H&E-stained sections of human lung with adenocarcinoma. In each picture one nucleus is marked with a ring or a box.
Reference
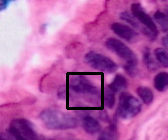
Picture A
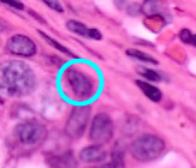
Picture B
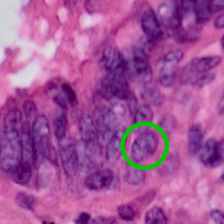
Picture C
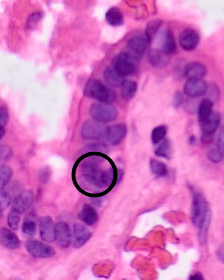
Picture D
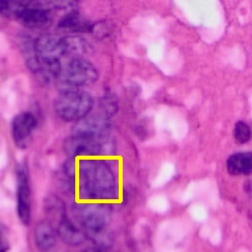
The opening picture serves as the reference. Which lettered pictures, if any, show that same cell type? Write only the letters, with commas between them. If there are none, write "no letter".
A, B, C, D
